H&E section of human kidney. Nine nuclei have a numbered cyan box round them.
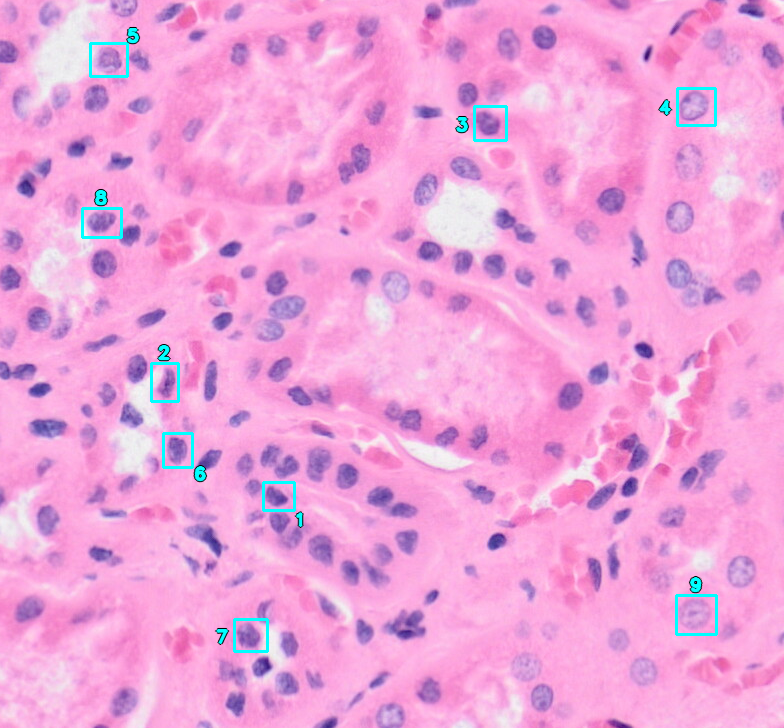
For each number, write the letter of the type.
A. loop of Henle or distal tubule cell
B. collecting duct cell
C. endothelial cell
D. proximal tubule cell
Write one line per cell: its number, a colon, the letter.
1: B
2: A
3: D
4: D
5: A
6: A
7: A
8: A
9: D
